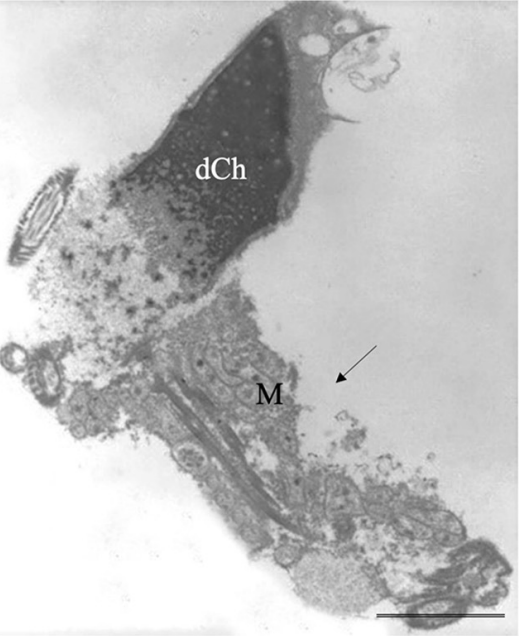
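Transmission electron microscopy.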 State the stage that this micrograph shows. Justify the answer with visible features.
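Necrotic sperm. The head chromatin is irregular and frays into granular material. The cell outline is disrupted with loose debris. Mitochondria in the midpiece look swollen.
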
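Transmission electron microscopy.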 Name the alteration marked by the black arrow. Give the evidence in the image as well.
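Near the arrow the cell's outer boundary is missing. Cytoplasmic material is scattered loosely outside the cell at that site.
Hence: broken plasma membrane.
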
